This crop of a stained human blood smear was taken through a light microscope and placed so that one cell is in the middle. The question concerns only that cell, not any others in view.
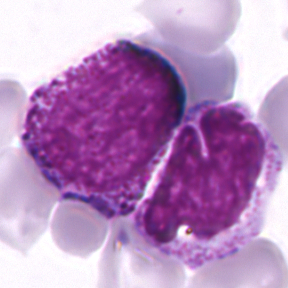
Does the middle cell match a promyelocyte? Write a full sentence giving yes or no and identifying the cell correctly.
Yes, the cell under consideration, the one in the middle, is a promyelocyte.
